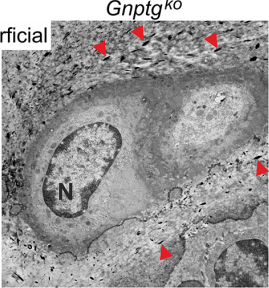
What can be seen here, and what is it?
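Rounded cells lie close together in the cartilage, one with an oval nucleus with a dark rim of chromatin, the other showing a large pale area of cytoplasm. The surrounding fibrillar matrix is dotted with many small black specks, pointed out by the arrowheads.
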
